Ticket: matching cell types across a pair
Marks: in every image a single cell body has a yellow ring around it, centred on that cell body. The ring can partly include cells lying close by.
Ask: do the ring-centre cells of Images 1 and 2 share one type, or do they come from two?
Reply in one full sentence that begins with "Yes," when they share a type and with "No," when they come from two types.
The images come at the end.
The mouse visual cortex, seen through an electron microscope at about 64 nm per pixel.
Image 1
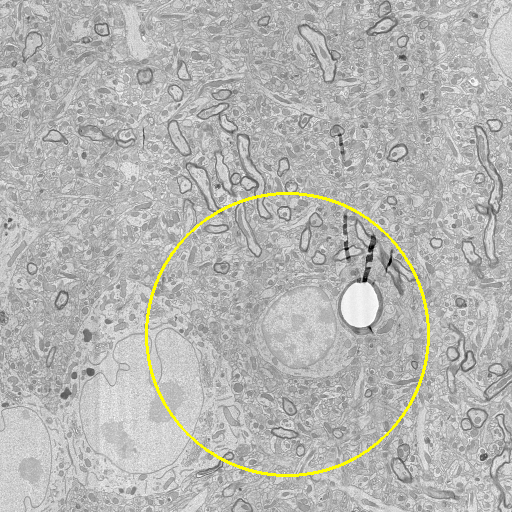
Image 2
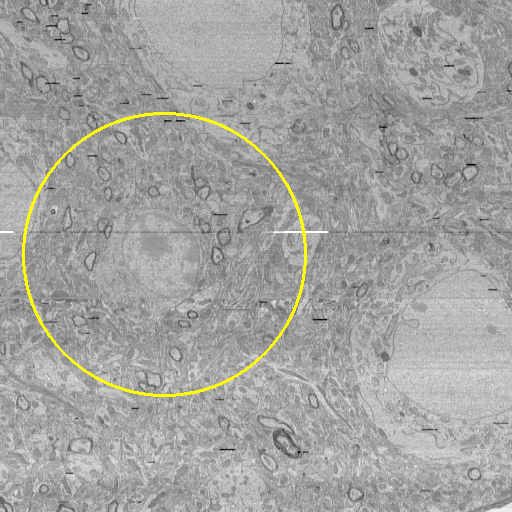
Yes, the cells in the centres of the rings in Image 1 and Image 2 share one type.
